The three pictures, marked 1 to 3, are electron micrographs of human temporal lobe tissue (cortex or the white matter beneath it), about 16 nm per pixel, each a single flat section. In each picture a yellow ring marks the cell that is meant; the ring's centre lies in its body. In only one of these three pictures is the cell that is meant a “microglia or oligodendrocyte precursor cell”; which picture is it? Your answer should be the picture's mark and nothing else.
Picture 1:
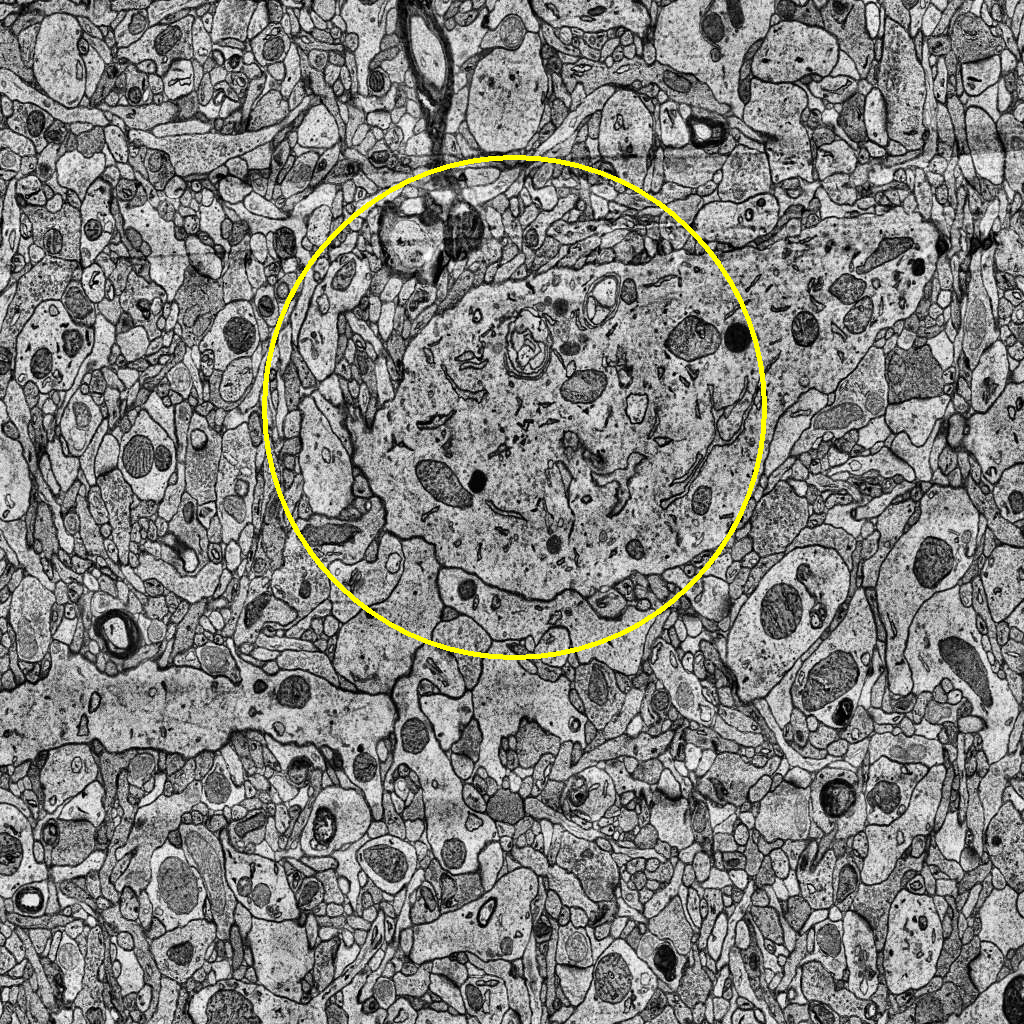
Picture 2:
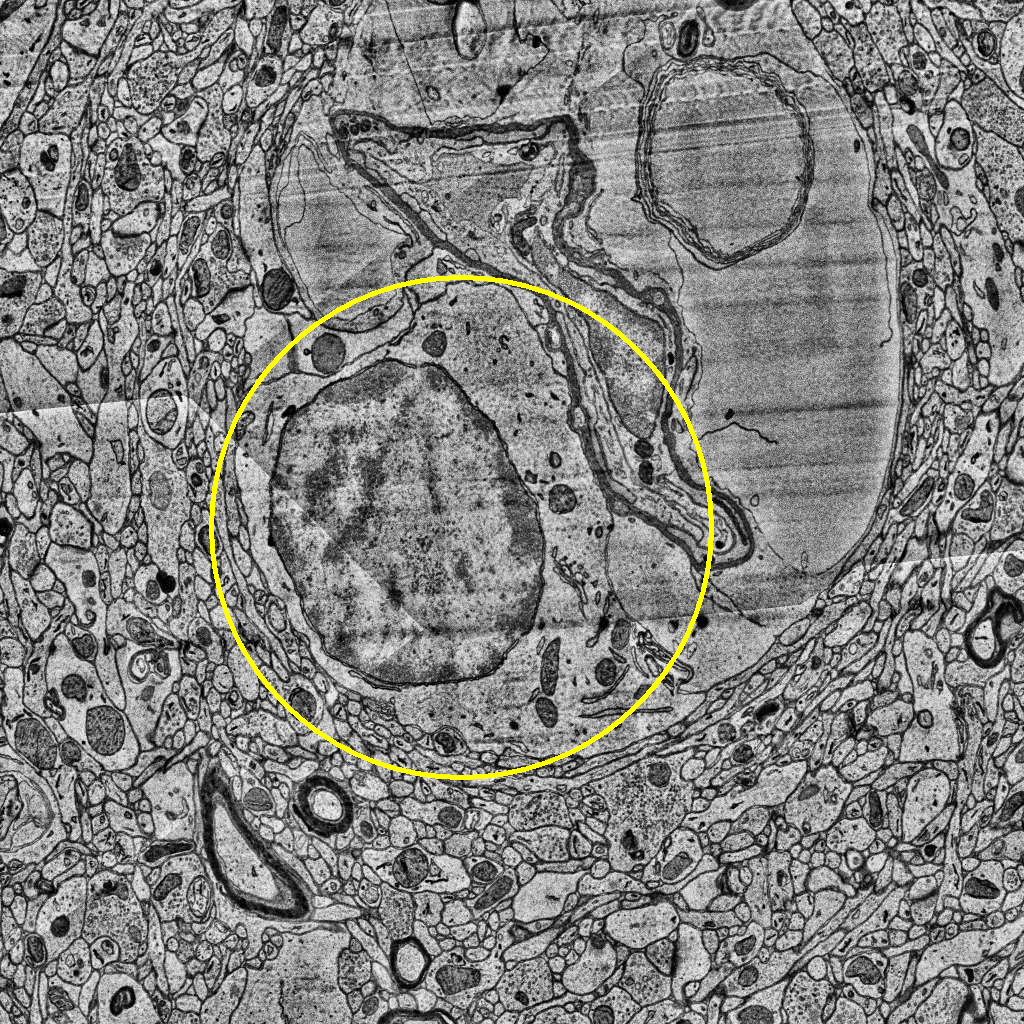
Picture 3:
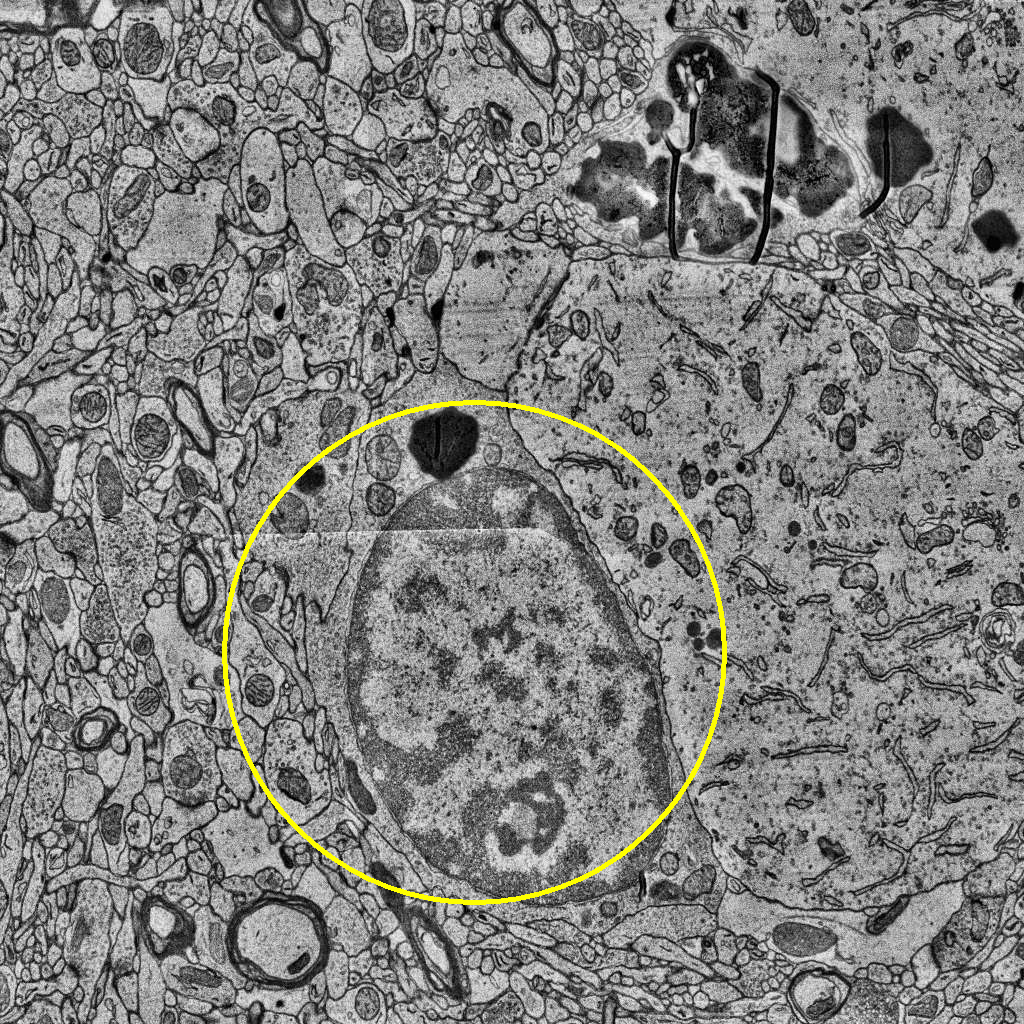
2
